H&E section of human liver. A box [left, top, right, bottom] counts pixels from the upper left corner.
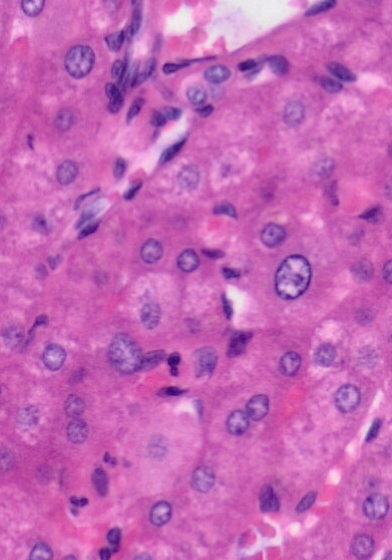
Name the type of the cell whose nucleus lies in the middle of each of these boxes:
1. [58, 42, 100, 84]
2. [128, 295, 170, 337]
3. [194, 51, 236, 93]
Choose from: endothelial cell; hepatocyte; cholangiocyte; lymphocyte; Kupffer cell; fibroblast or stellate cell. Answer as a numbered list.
1. hepatocyte
2. hepatocyte
3. cholangiocyte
